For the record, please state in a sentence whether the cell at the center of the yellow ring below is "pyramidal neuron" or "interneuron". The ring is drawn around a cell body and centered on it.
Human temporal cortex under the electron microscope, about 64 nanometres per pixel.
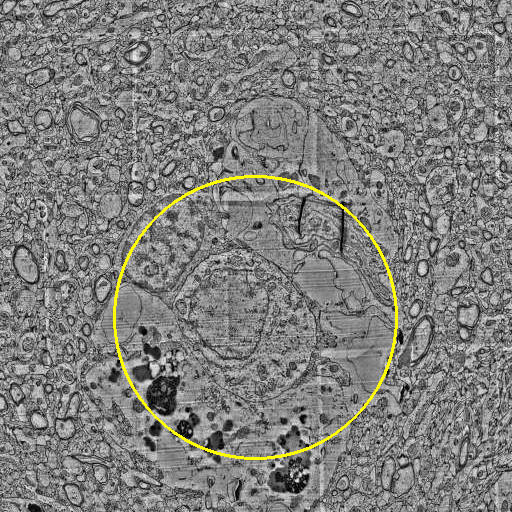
The cell at the ring's center is a pyramidal neuron.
